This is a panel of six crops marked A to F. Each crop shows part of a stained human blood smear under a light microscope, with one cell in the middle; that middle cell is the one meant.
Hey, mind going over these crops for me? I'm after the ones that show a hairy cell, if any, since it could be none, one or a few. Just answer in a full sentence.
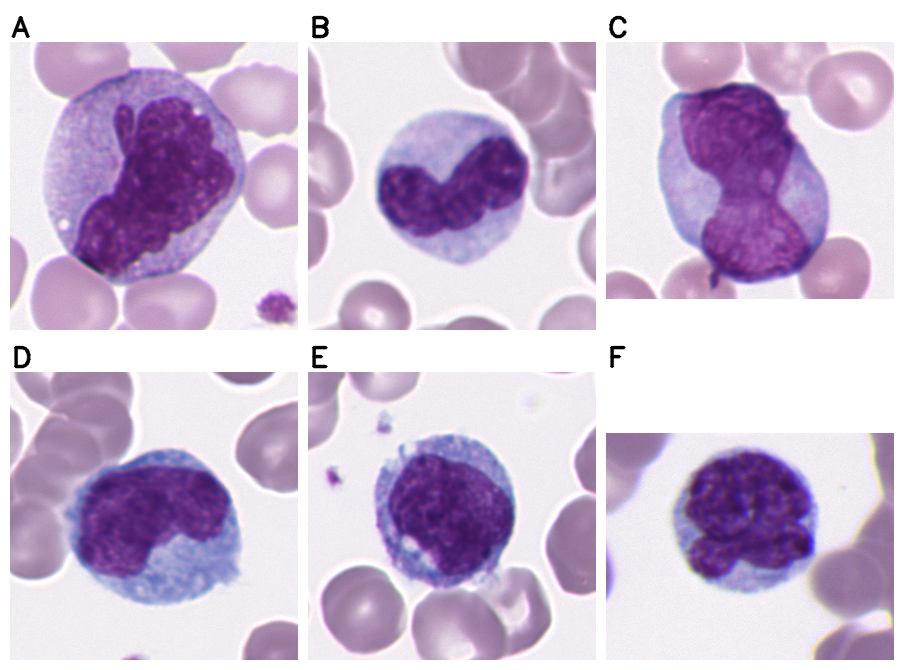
Among the central cells of the crops, none is a hairy cell.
